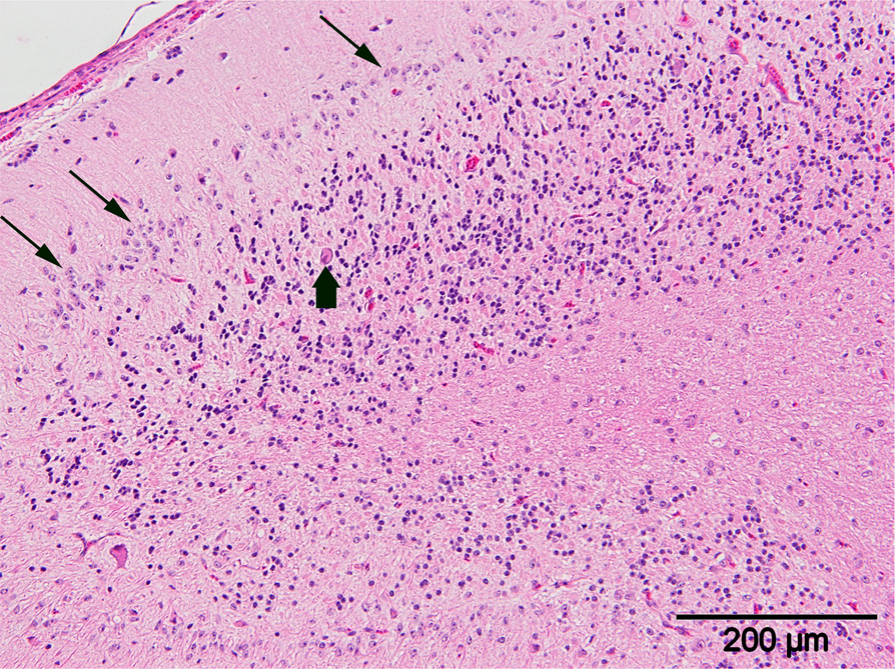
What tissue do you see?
Cerebellar folium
